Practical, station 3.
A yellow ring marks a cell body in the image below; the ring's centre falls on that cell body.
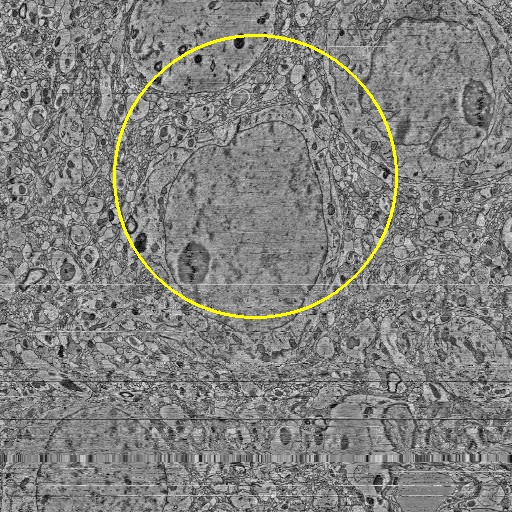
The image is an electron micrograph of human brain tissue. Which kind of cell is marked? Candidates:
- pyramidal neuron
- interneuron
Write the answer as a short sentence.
The marked cell body is that of a pyramidal neuron.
